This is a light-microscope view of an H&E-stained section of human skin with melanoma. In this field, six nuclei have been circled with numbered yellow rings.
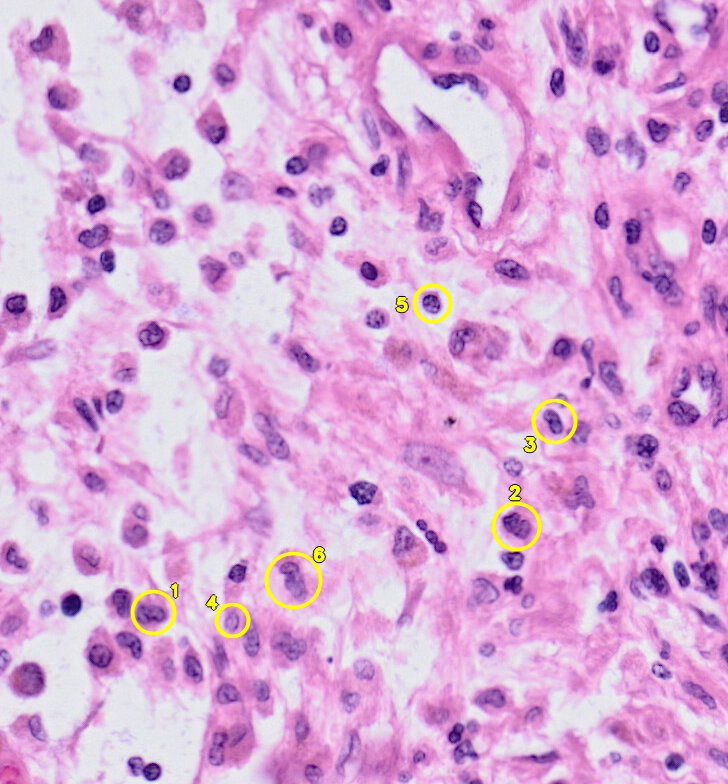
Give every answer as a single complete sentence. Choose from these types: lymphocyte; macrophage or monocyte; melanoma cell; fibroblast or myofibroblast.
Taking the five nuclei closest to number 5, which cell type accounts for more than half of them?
Macrophages or monocytes make up most of the five nuclei closest to number 5.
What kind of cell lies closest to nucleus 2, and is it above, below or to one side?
The nearest one is a lymphocyte, found below nucleus 2.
